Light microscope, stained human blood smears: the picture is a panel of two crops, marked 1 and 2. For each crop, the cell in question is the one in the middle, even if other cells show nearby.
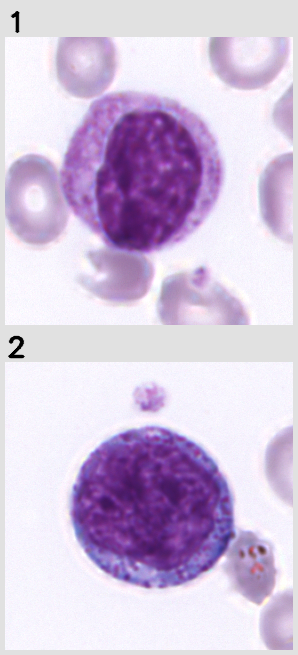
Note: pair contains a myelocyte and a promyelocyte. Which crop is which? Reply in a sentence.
Crops 1 and 2 are, respectively, a myelocyte and a promyelocyte.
